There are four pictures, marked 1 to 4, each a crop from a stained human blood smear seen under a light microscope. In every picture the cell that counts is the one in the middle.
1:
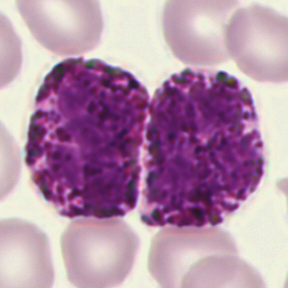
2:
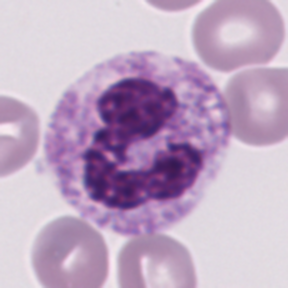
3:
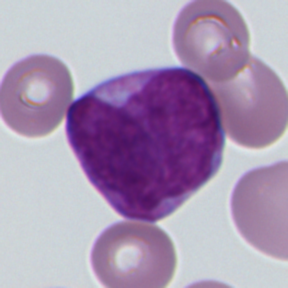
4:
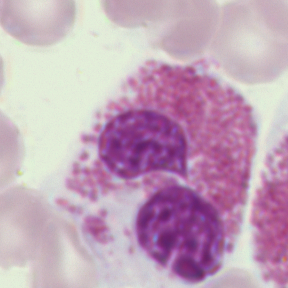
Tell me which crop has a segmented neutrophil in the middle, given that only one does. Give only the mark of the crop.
2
